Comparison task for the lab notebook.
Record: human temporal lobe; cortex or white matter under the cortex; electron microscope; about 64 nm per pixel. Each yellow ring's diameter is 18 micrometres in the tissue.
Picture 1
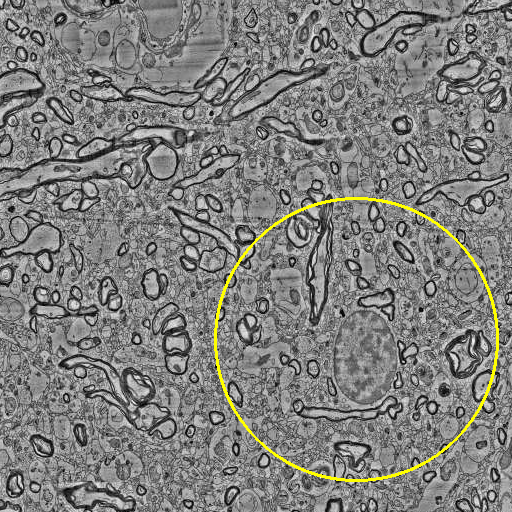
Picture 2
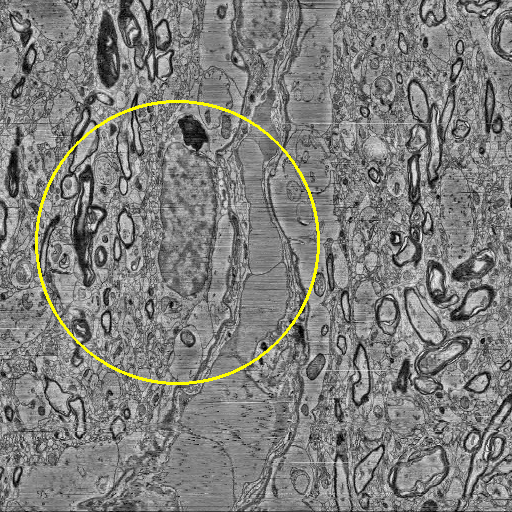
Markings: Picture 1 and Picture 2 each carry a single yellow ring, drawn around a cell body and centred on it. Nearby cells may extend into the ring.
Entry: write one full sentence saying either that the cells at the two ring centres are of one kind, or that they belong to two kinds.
The cells sitting at the ring centres in Picture 1 and Picture 2 are of one kind.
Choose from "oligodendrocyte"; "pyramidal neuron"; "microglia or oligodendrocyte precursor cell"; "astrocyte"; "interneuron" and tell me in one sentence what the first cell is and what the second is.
Each of the two rings is centred on an oligodendrocyte.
